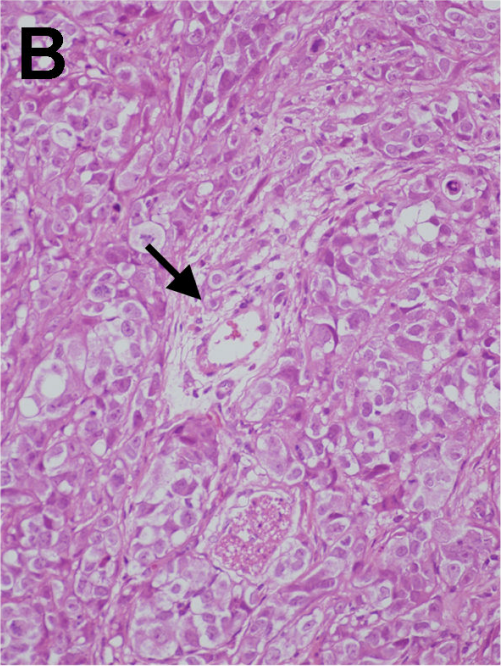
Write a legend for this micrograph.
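This is a solid tumor made of large, pleomorphic polygonal tumor cells arranged in sheets and nests with little intervening stroma. The cells have round vesicular nuclei, many with prominent nucleoli, and pale pink to clear, often vacuolated cytoplasm. Among them lies a small blood vessel with an open lumen bounded by a rim of flattened cells, resembling a small artery within the tumor.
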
